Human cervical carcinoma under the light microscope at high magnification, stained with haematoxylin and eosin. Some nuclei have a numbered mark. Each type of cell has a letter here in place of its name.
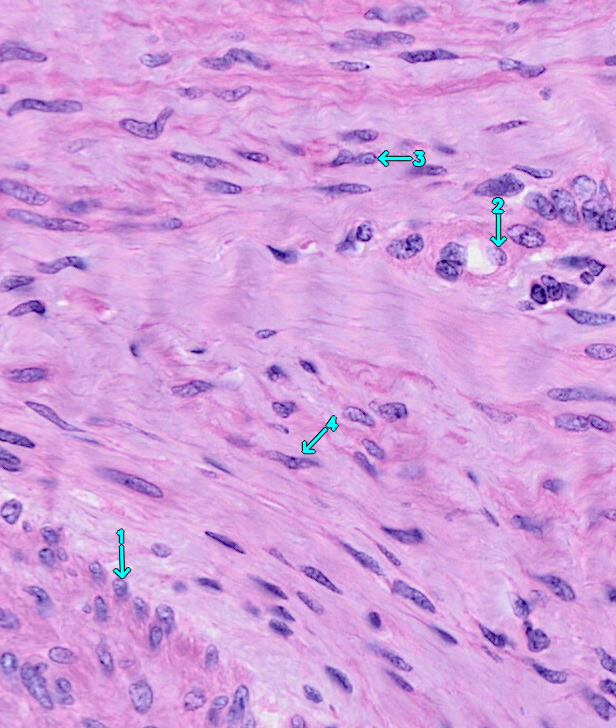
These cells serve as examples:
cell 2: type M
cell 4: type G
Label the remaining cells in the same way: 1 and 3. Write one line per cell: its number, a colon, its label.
1: type G
3: type G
